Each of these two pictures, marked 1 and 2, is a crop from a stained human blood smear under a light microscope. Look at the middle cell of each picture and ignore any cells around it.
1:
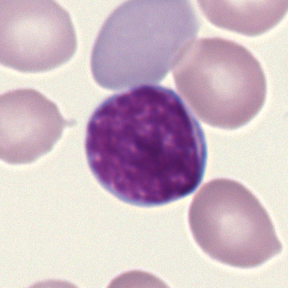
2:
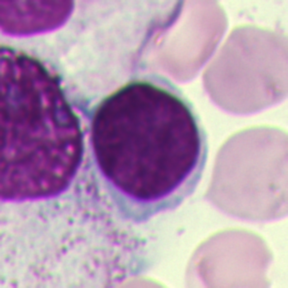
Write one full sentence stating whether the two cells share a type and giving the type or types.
Yes, it is typical lymphocytes that occupy the middle of both crops.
